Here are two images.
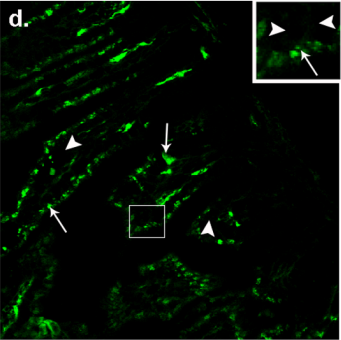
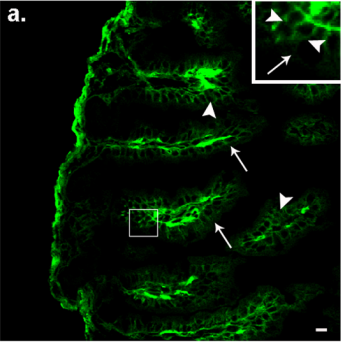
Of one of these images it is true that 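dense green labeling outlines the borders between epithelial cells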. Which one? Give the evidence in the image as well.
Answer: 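First image: green appears as scattered bright dots, cell borders are not outlined. Second image: green lines outline the epithelial cells in a net-like pattern.
Answer: the second image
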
